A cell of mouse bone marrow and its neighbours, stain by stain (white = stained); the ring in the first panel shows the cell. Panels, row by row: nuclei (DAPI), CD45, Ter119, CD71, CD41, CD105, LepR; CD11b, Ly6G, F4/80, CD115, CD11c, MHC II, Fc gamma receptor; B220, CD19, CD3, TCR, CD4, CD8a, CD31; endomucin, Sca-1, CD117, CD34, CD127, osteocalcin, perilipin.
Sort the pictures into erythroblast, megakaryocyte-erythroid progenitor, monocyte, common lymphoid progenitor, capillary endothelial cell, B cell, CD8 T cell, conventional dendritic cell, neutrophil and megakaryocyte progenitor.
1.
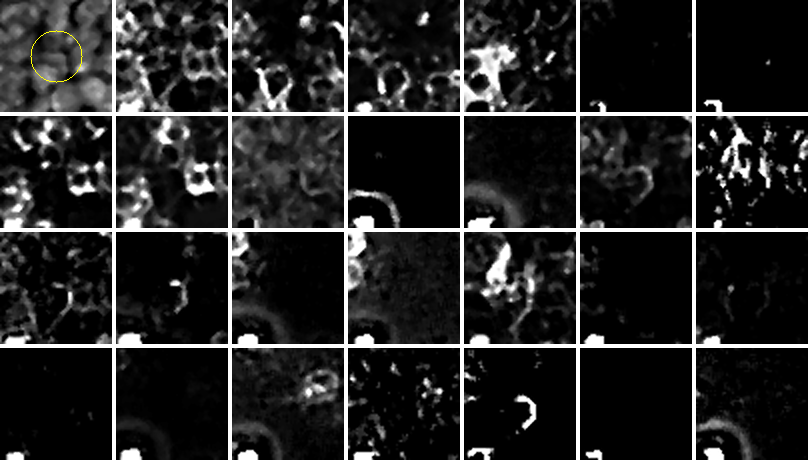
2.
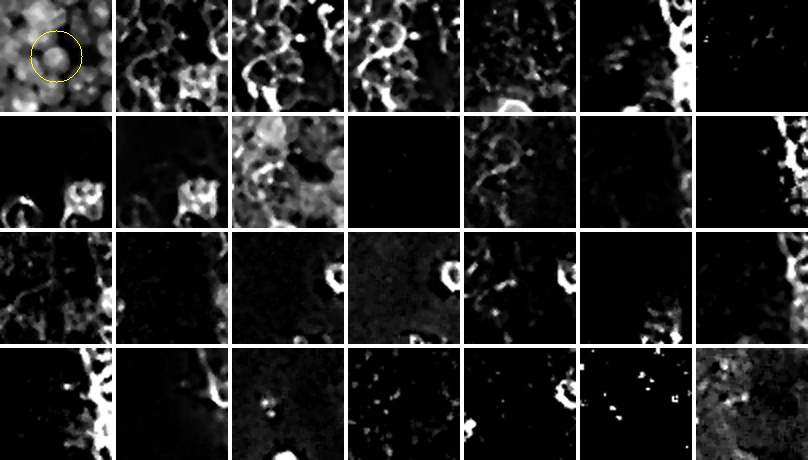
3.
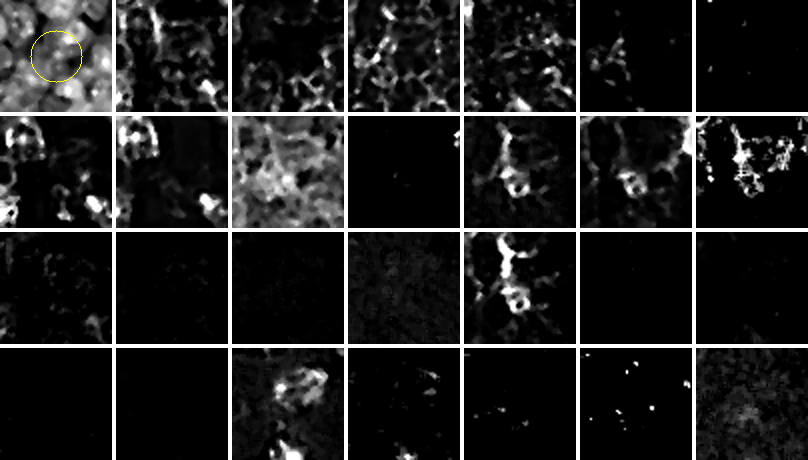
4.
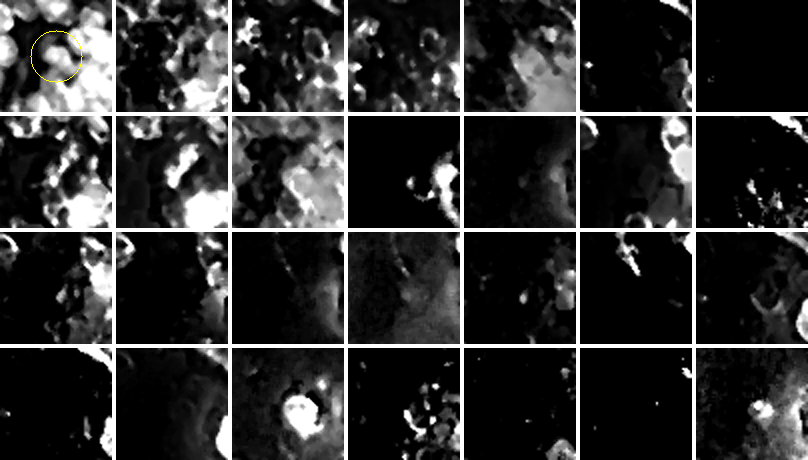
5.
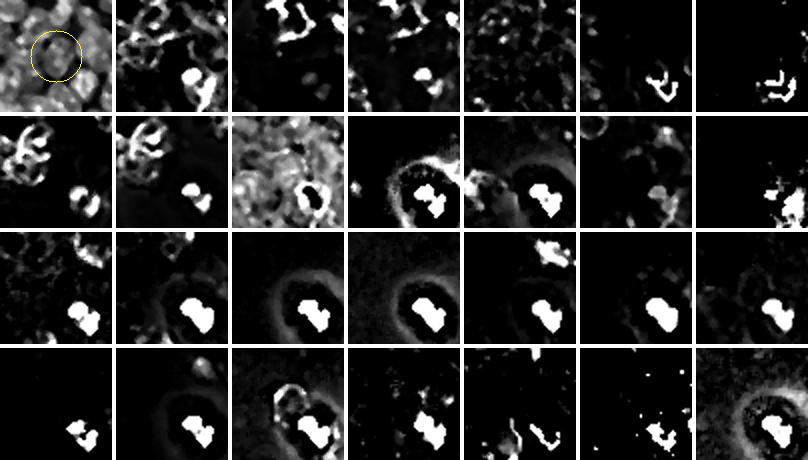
Common lymphoid progenitors: 1
Erythroblasts: 2
Conventional dendritic cells: 3
Megakaryocyte progenitors: 4
Megakaryocyte-erythroid progenitors: 5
